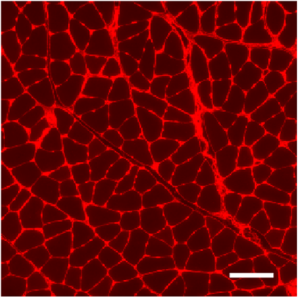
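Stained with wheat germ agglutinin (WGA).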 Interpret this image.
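Transverse section of skeletal muscle showing muscle fibers cut in cross-section as closely packed polygonal profiles. Each fiber is bounded by a thin bright red outline, with a dark, unstained interior. Wider bright red bands of connective tissue run between groups of fibers, branching across the field.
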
